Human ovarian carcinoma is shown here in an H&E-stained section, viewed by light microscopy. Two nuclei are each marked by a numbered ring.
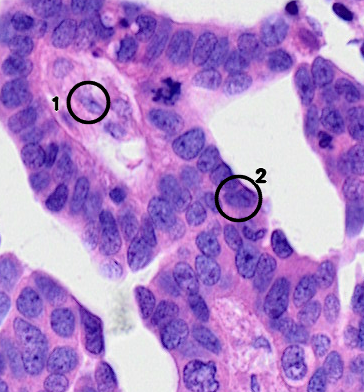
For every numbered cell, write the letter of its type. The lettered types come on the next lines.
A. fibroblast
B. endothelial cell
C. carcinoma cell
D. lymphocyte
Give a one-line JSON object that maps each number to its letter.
{"1": "A", "2": "C"}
